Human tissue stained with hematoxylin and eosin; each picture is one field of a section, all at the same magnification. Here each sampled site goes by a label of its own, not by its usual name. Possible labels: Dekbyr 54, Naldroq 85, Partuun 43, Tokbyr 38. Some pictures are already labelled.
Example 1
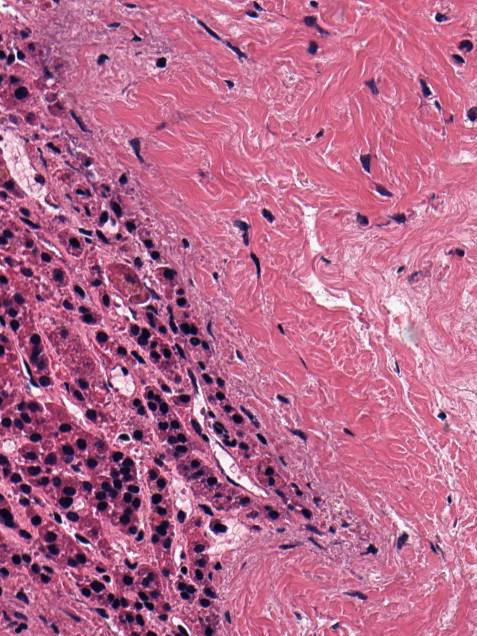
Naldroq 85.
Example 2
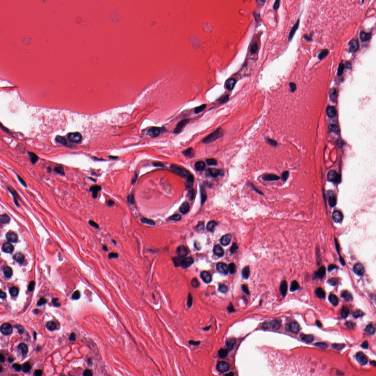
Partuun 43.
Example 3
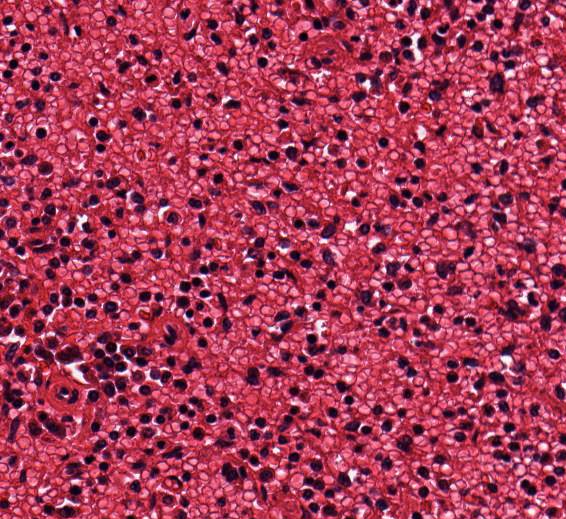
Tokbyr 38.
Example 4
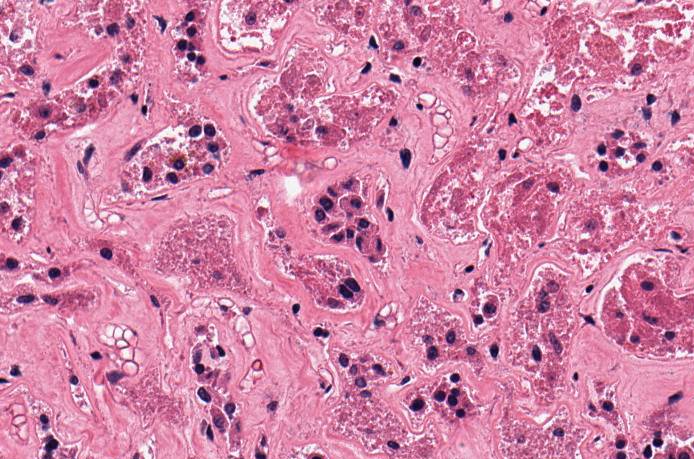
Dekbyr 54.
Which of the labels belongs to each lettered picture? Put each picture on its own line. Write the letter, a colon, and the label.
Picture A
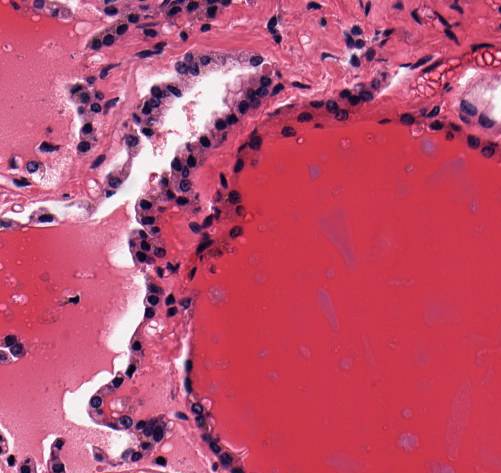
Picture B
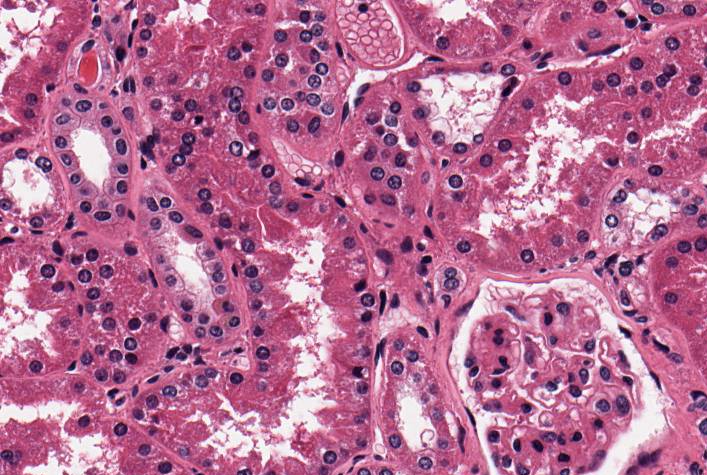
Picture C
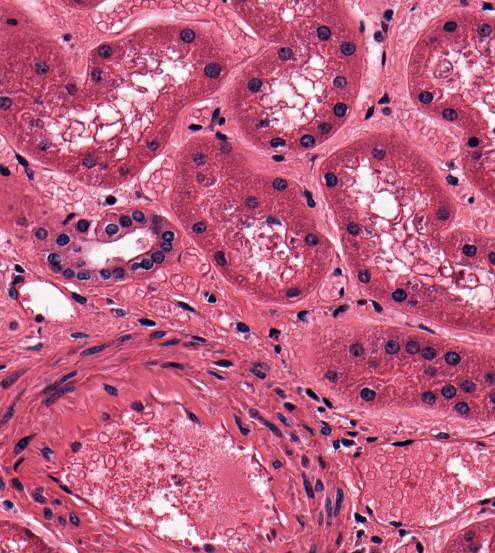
A: Partuun 43.
B: Dekbyr 54.
C: Dekbyr 54.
